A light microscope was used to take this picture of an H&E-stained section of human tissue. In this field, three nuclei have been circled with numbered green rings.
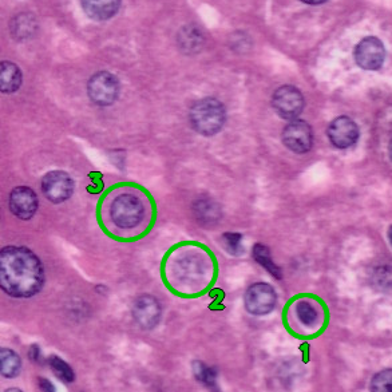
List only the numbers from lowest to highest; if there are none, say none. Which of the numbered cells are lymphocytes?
1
